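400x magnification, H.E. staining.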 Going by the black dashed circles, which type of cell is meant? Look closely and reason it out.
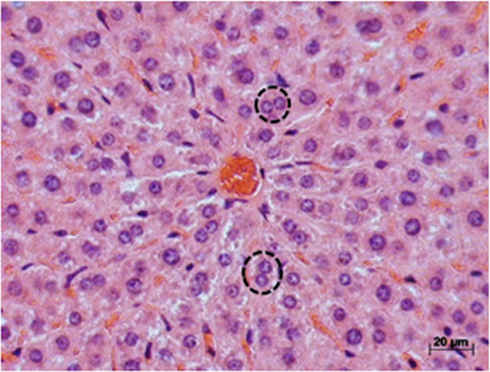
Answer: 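Each circled cell holds two round nuclei lying side by side. The surrounding cells mostly have a single nucleus.
Hence: binucleated cells.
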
